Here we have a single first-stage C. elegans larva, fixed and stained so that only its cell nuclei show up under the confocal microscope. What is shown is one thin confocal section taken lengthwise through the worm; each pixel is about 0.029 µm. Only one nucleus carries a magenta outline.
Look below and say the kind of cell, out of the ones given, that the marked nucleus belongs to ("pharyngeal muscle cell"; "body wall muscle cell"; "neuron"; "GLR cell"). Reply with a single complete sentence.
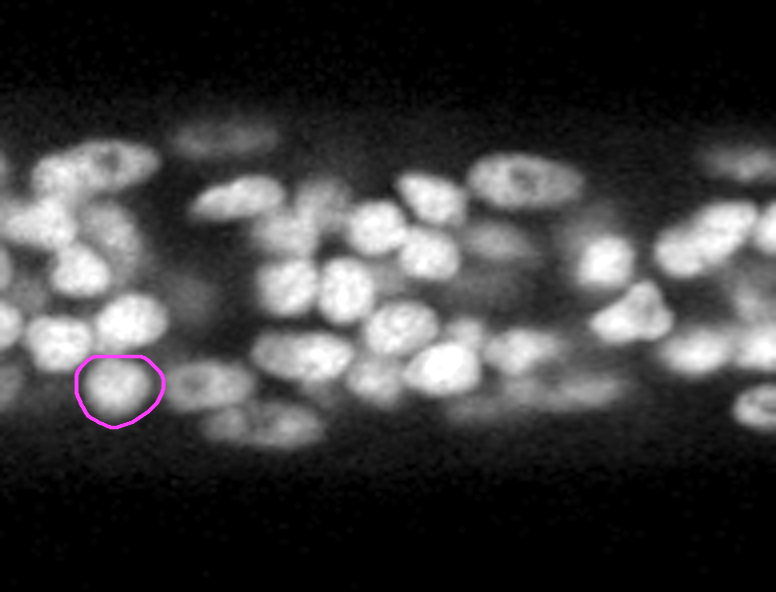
The marked cell is a neuron.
